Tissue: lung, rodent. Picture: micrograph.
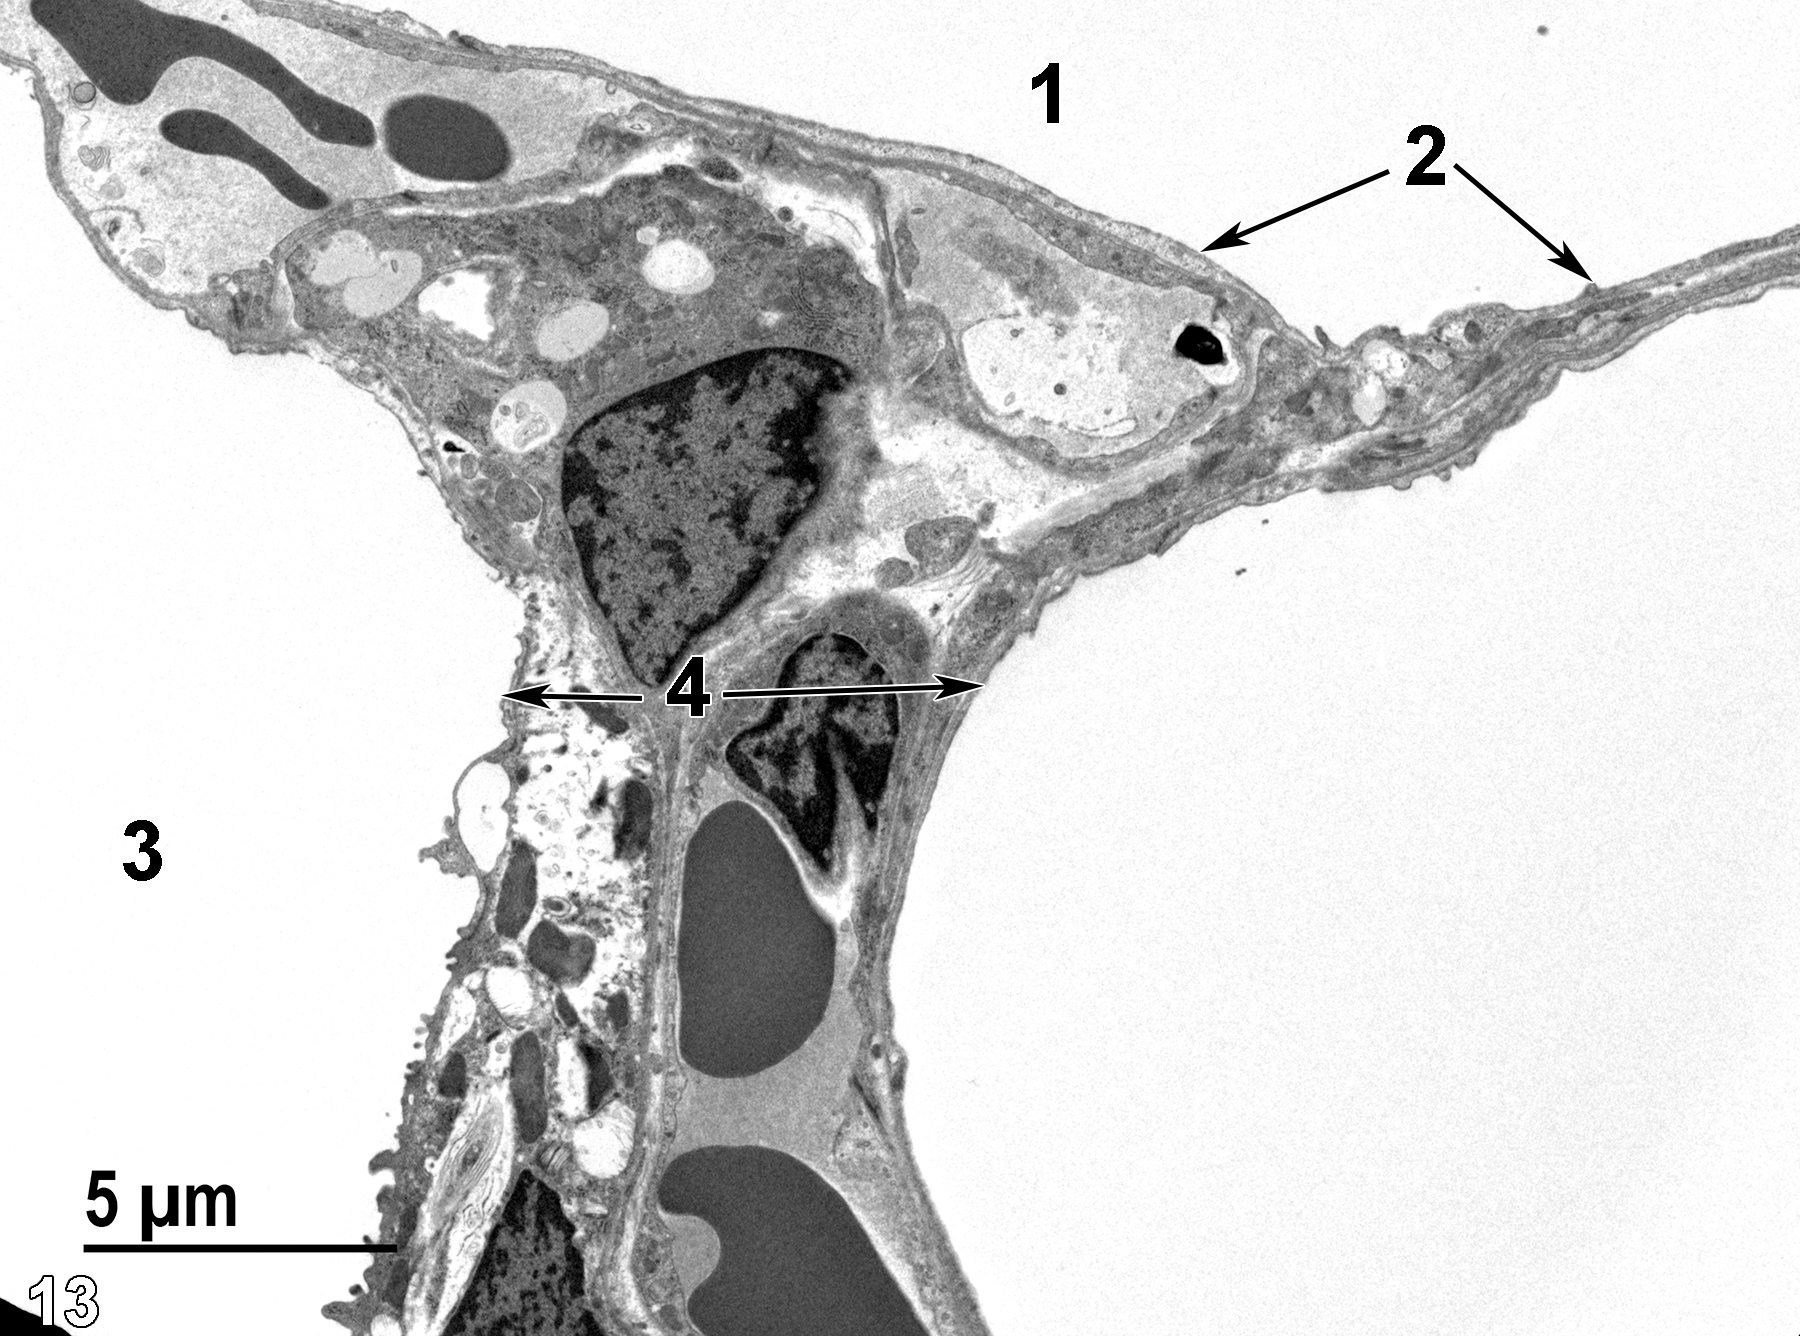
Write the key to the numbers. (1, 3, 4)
1 pleural cavity
3 pulmonary alveolus
4 alveolar septum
